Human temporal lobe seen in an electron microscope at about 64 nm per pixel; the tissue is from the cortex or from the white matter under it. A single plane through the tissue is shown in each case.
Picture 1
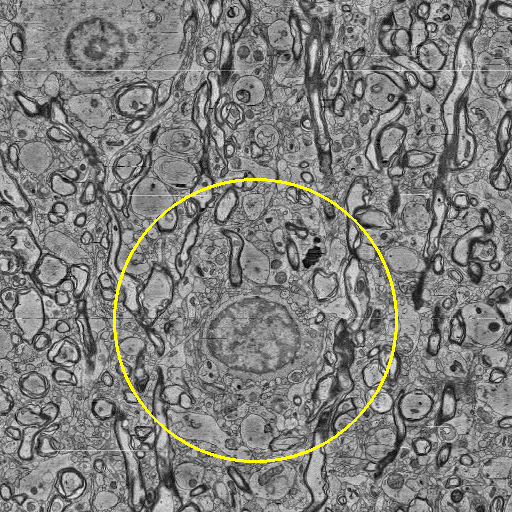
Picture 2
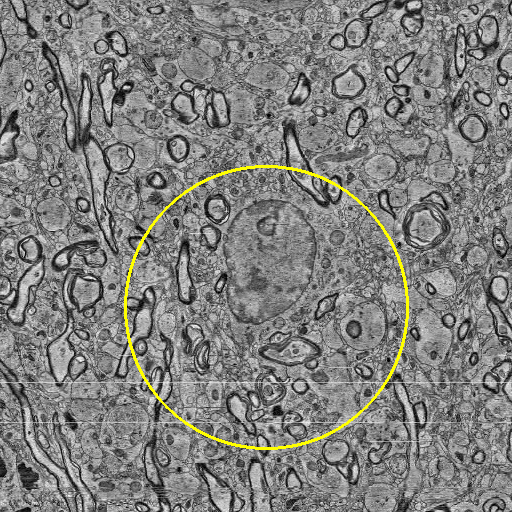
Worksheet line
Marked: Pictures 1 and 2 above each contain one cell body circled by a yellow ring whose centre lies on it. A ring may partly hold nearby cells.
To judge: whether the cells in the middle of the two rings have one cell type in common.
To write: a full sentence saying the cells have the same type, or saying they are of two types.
The cells in the middle of the rings in Picture 1 and Picture 2 have the same type.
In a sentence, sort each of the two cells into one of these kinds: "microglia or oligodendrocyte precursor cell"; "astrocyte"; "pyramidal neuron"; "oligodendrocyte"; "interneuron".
Both the first and the second picture show an oligodendrocyte in the ring.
